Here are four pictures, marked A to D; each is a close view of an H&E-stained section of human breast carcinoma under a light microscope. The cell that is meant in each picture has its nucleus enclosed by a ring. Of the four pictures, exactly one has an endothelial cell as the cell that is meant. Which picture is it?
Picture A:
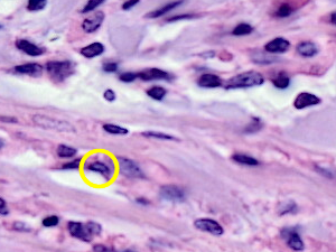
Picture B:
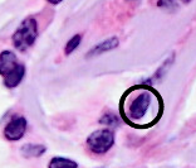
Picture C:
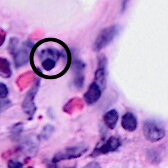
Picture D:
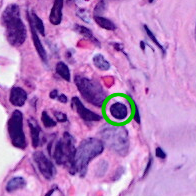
A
